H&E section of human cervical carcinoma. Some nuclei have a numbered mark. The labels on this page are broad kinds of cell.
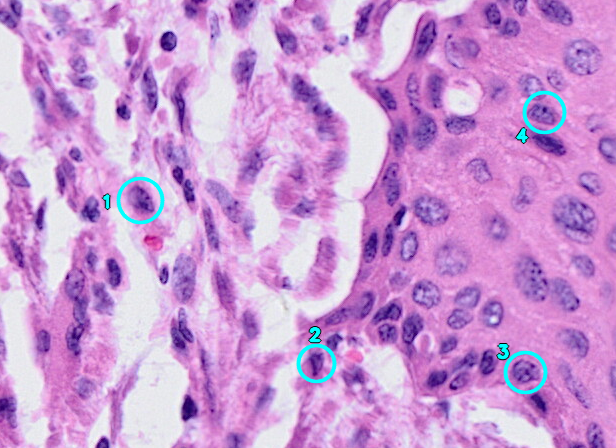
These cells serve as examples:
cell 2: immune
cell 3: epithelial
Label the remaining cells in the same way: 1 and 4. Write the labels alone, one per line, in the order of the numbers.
immune
epithelial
